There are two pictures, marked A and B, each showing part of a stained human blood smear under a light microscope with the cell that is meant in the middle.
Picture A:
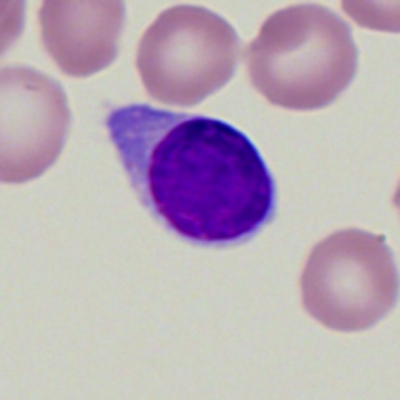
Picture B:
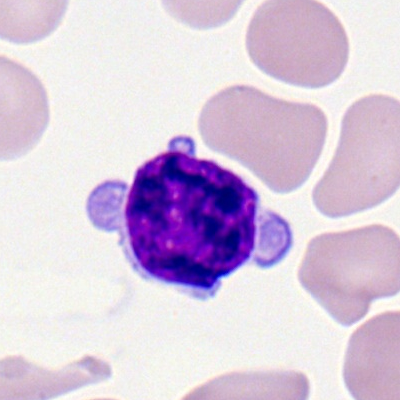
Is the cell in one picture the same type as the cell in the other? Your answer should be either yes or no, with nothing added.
yes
